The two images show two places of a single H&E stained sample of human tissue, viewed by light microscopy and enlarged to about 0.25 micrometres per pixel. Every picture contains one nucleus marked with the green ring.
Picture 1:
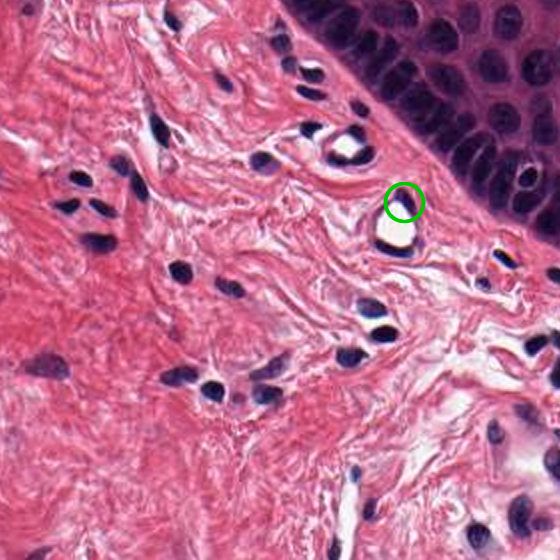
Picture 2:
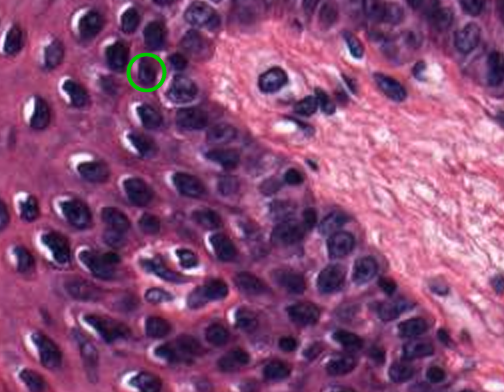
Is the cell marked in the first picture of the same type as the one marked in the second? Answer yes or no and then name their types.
No, the first is an endothelial cell and the second a squamous epithelial cell.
